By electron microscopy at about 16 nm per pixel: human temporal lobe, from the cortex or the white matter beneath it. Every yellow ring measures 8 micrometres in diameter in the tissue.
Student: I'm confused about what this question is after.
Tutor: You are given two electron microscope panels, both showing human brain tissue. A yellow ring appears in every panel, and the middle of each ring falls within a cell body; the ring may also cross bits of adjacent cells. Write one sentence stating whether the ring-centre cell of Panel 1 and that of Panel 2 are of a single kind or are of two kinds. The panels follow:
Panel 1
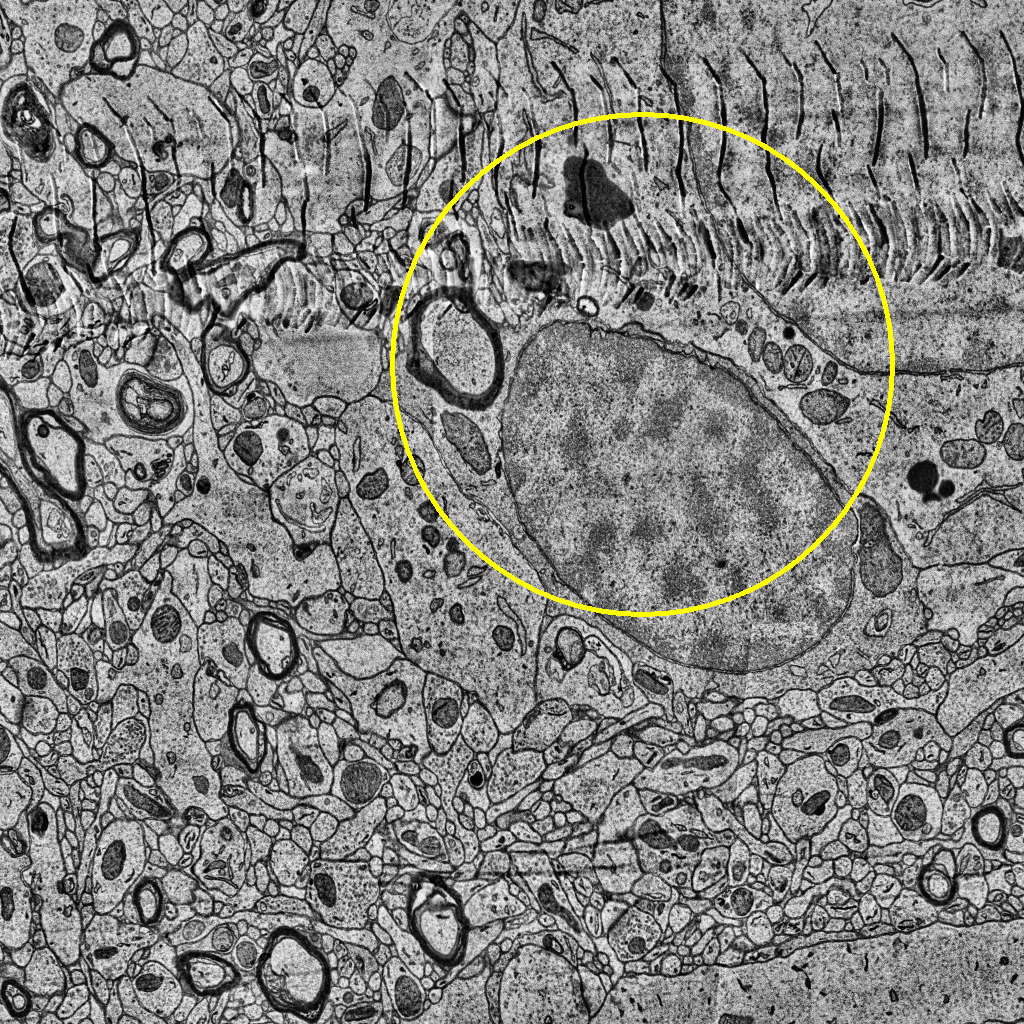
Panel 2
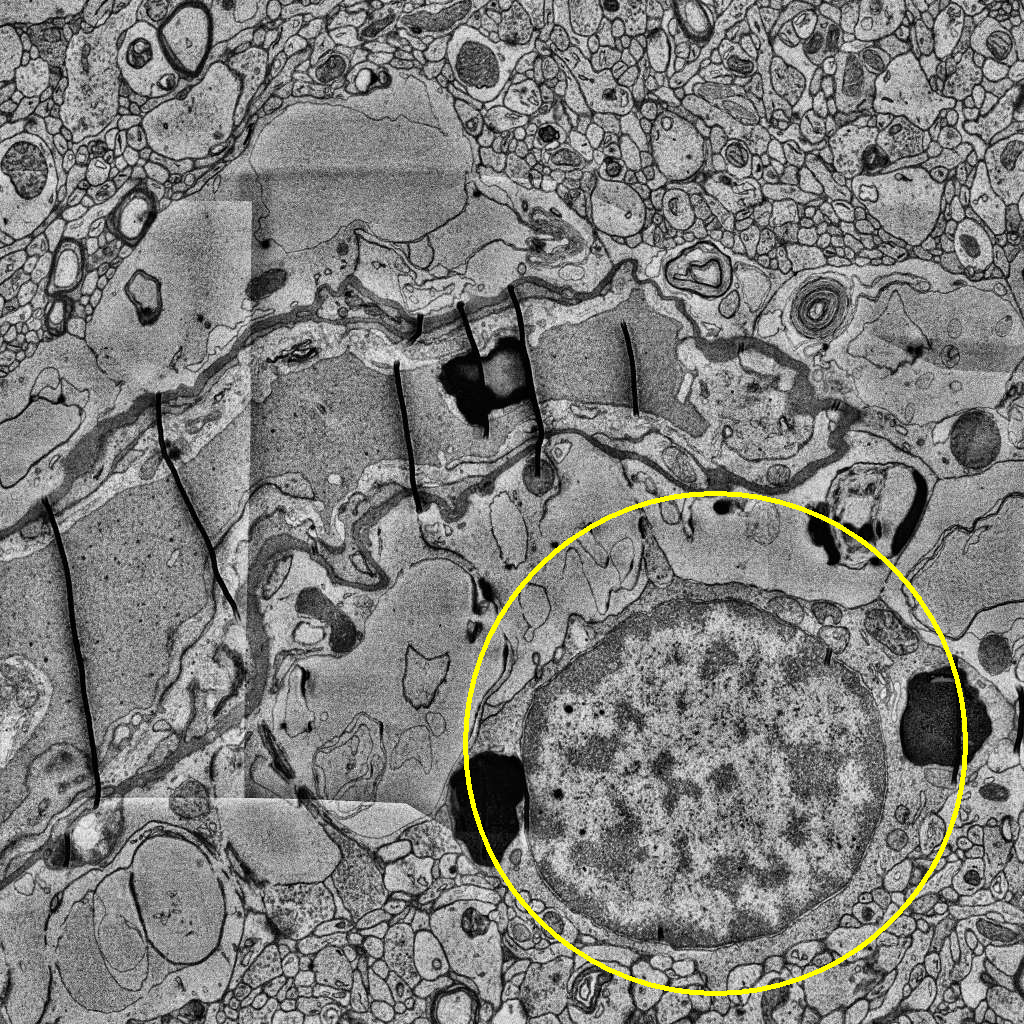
Here, the Panel 1 ring-centre cell and the Panel 2 ring-centre cell are of a single kind.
